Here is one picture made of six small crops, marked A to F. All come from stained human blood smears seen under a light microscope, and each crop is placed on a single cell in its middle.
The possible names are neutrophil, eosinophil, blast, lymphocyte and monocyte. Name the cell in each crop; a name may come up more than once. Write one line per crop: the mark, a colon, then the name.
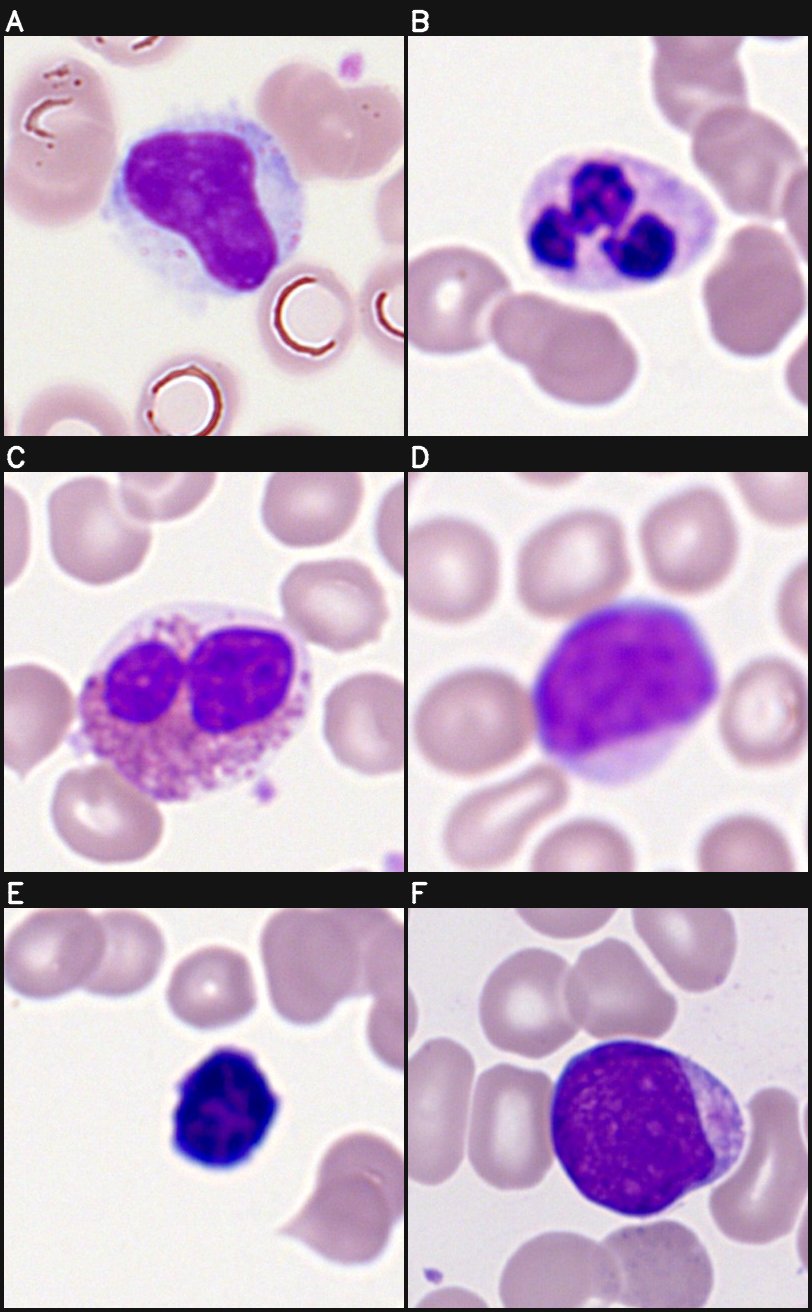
A: lymphocyte
B: neutrophil
C: eosinophil
D: blast
E: lymphocyte
F: blast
